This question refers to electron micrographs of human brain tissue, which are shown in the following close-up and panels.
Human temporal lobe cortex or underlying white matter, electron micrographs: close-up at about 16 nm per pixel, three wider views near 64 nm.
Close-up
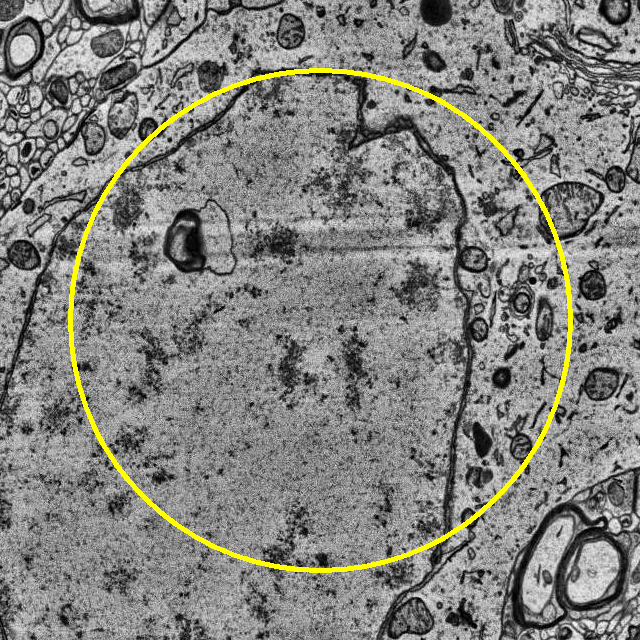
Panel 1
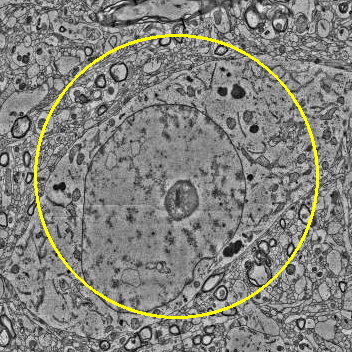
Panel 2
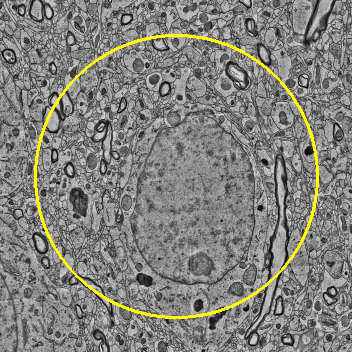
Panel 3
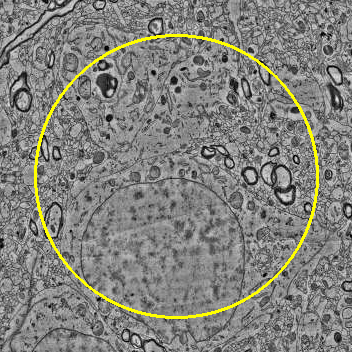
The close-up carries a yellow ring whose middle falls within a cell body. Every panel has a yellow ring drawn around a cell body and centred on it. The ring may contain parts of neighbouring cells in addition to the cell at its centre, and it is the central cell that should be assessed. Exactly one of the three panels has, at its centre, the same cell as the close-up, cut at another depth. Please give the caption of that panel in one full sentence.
The yellow ring in Panel 1 marks the cell seen in the close-up.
